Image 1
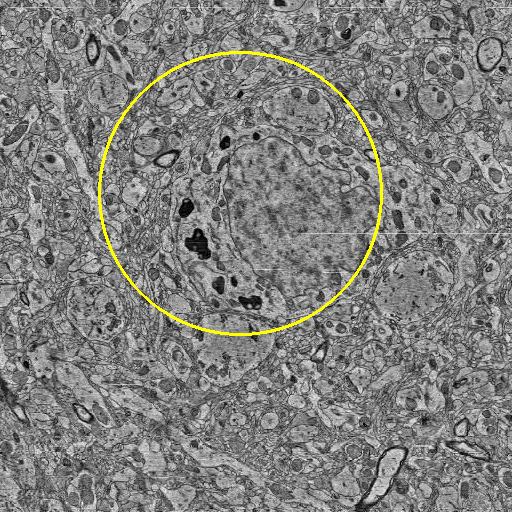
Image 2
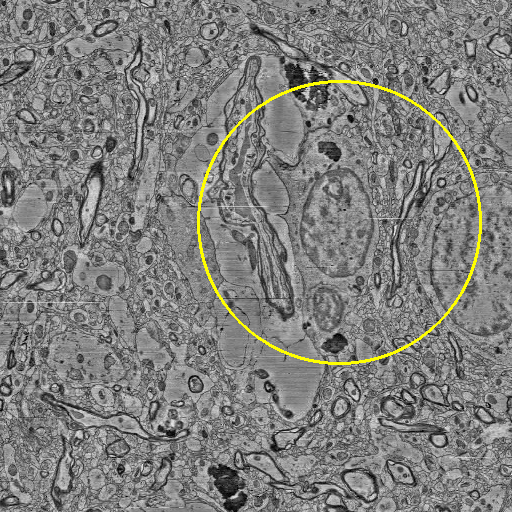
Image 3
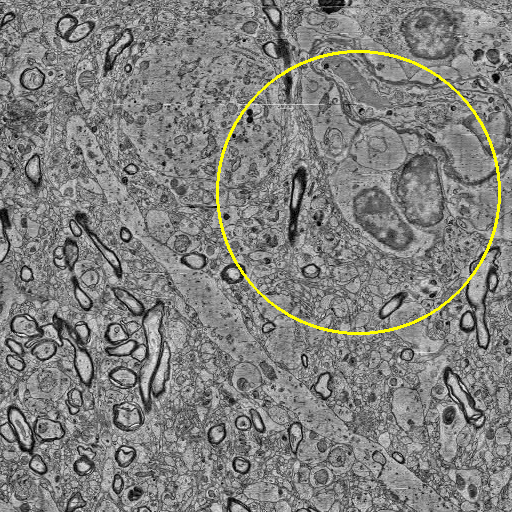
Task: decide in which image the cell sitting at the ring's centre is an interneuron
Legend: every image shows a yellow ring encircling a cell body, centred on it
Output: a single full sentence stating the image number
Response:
In image 1, the cell at the middle of the ring is the match.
